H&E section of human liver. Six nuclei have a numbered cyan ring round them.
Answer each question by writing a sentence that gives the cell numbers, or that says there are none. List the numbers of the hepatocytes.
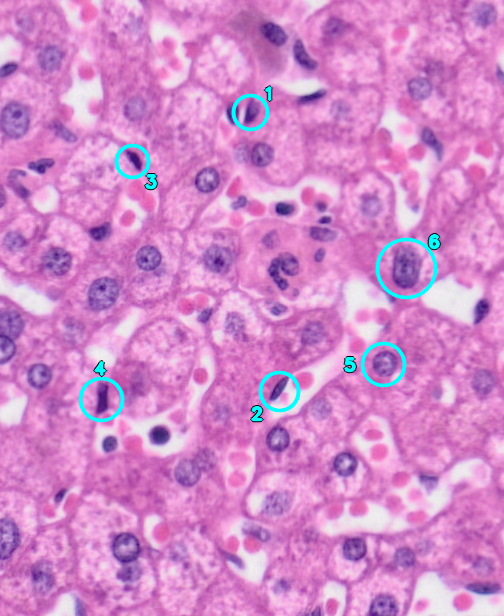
In terms of cell type, cells 5 and 6 are hepatocytes.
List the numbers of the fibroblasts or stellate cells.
When it comes to cells 1, 3 and 4, they are fibroblasts or stellate cells.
